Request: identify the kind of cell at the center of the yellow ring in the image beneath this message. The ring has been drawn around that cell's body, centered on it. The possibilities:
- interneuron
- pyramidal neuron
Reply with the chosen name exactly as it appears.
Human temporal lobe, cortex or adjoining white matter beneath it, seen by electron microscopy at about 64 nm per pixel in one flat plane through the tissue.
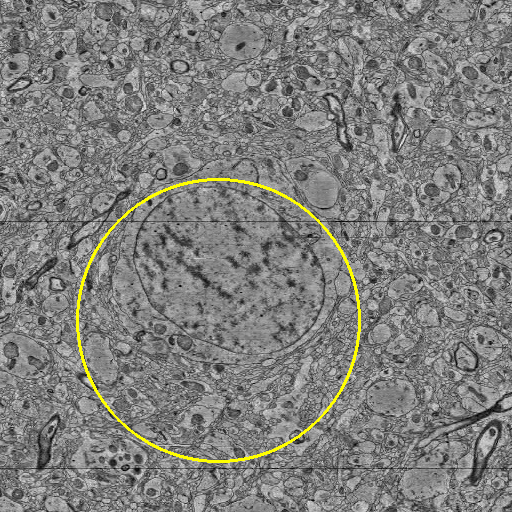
pyramidal neuron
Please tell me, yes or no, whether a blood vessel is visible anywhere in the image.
No, no blood vessel can be seen.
